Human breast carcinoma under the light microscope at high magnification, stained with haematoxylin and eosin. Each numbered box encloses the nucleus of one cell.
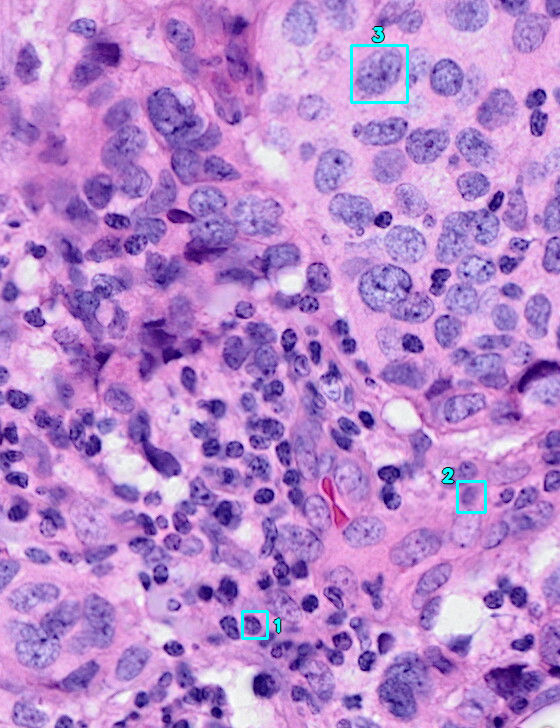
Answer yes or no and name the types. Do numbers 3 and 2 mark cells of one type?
No, cell 3 is a carcinoma cell and cell 2 is an endothelial cell.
